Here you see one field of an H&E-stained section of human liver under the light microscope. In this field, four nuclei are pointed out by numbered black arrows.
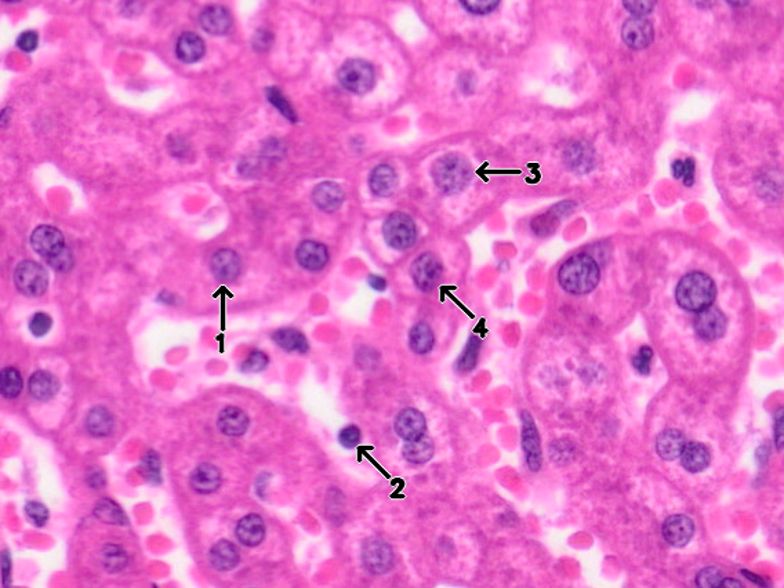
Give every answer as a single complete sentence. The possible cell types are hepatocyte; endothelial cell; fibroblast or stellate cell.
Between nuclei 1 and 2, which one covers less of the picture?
With nucleus 1 about 2 times its size, nucleus 2 is the smaller of the two.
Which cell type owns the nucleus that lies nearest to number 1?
The nearest nucleus to number 1 belongs to a fibroblast or stellate cell.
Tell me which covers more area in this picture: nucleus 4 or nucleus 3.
Nucleus 3 covers more area, about 1.5 times as much as nucleus 4.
